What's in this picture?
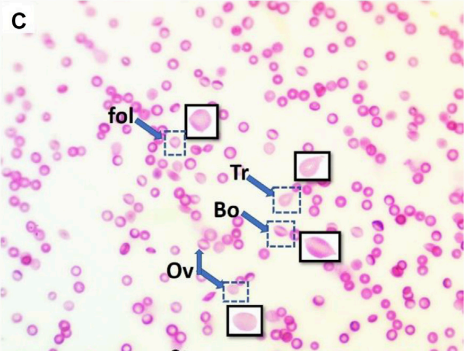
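This is a peripheral blood smear of scattered pink red blood cells without nuclei, lying mostly apart on a pale background. Many are round with a paler centre, but a number are misshapen. Some are elongated with pointed ends, like a boat. Others are oval, or taper like a teardrop. Some look folded over. The cells vary in how deeply they stain. No nucleated white cells are evident in the field.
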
